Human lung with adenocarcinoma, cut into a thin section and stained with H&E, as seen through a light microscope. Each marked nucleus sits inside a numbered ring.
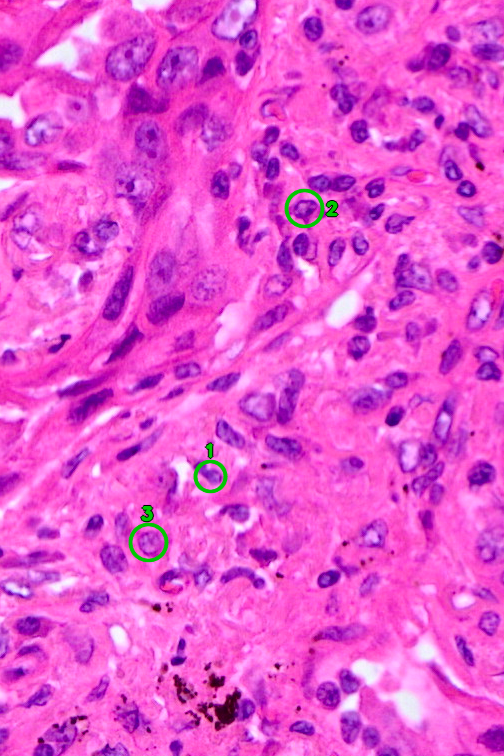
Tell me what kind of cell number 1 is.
lymphocyte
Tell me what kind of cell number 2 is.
plasma cell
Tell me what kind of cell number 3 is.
macrophage or monocyte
